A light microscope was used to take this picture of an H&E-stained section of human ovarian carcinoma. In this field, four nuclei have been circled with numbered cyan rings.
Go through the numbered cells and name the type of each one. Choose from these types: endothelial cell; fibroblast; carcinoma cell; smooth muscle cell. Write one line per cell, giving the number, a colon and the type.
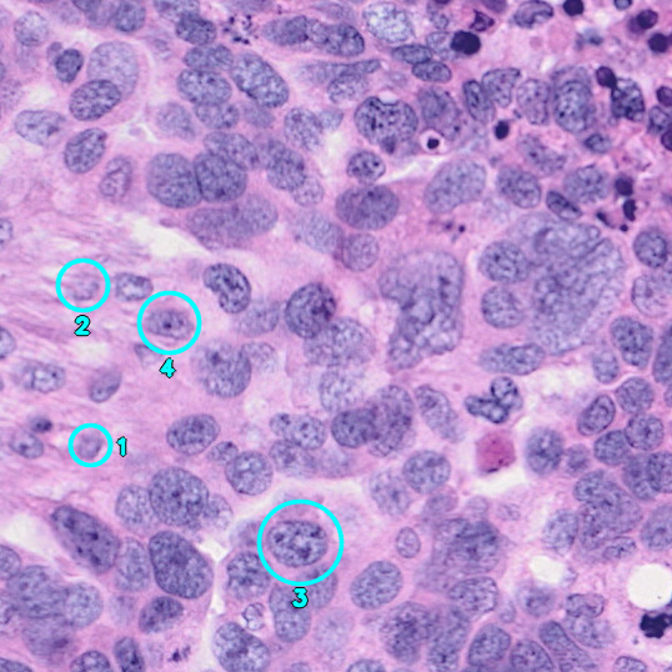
1: fibroblast
2: fibroblast
3: carcinoma cell
4: fibroblast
